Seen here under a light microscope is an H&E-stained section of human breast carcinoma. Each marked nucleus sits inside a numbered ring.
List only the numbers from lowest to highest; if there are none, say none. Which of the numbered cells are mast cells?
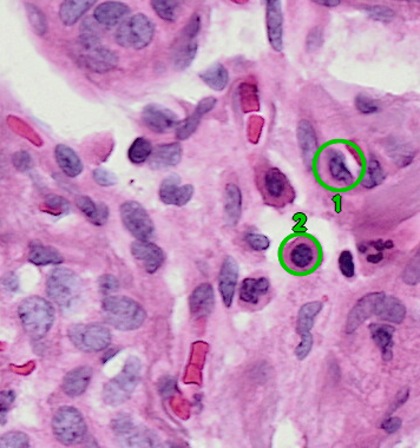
2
